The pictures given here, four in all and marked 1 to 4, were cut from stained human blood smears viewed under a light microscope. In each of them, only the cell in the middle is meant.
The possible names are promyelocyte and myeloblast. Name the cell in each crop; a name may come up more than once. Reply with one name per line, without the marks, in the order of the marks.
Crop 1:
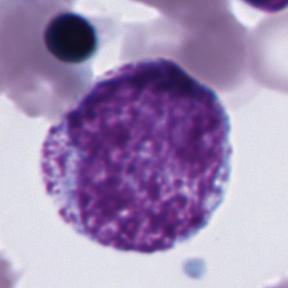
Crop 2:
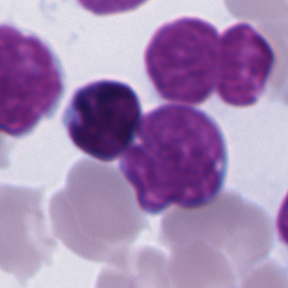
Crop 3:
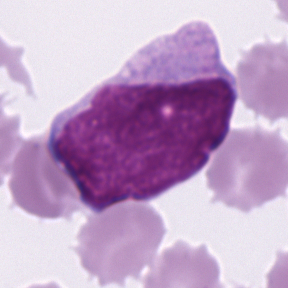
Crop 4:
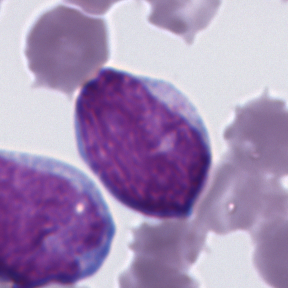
promyelocyte
myeloblast
myeloblast
myeloblast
